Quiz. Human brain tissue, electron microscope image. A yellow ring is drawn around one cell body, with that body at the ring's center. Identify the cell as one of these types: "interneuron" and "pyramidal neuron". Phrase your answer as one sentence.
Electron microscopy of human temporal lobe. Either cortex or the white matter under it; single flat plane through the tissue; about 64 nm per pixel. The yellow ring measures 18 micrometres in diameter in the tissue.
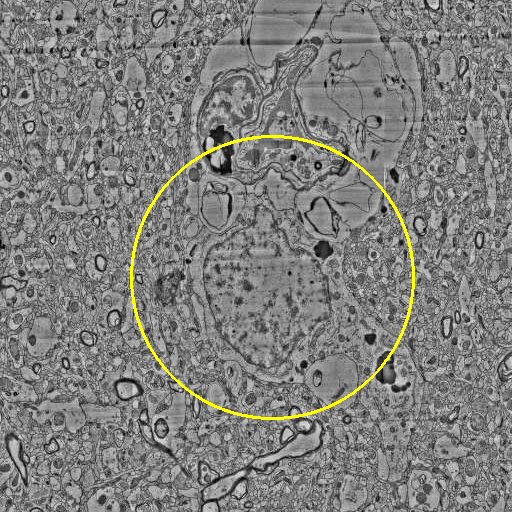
At the center of the ring sits an interneuron.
